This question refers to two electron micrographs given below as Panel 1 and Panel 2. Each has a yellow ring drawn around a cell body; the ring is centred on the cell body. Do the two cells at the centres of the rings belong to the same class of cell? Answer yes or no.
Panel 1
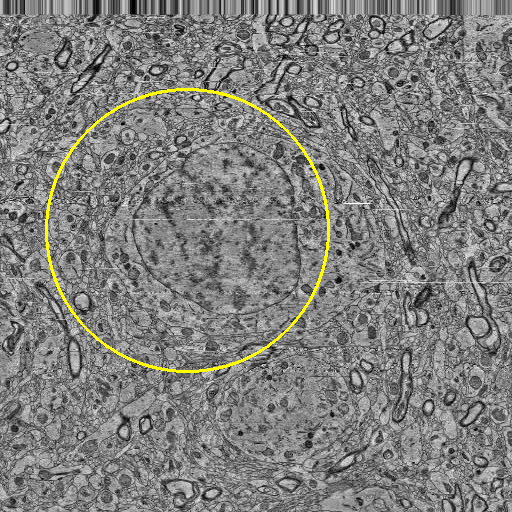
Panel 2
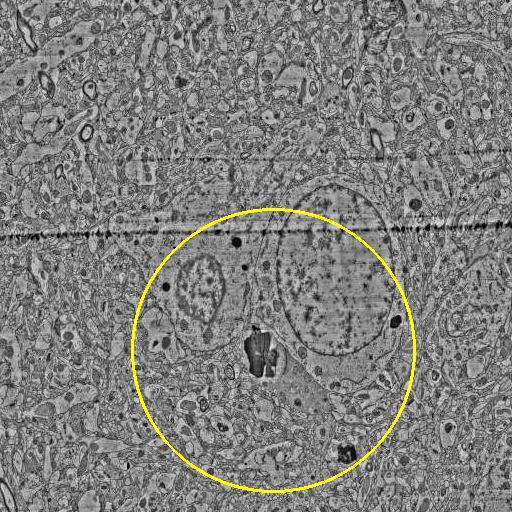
no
